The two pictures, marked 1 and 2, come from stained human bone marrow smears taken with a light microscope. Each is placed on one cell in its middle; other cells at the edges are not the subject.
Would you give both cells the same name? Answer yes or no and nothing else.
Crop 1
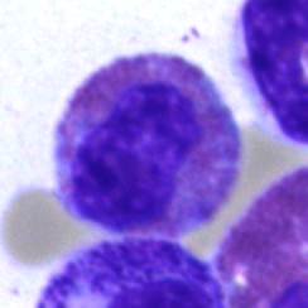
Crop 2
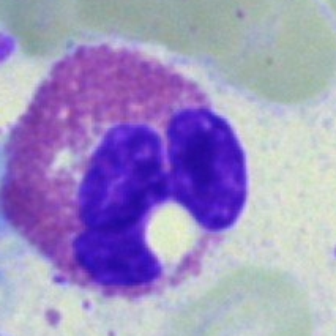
yes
